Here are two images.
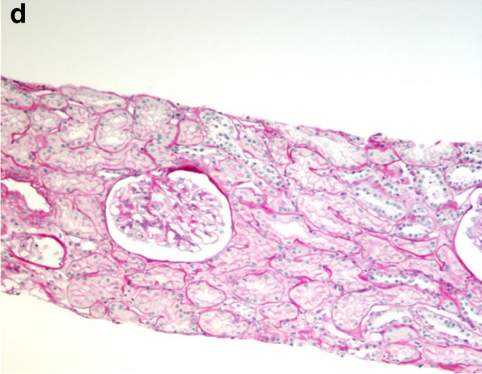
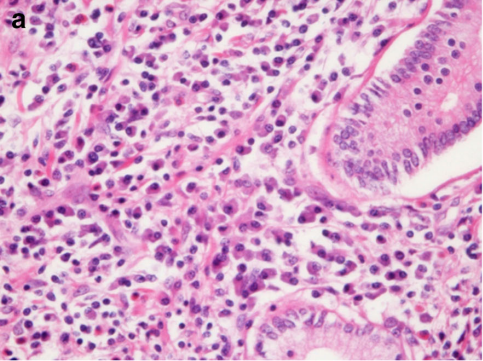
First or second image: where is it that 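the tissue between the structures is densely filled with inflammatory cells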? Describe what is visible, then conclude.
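First image: tubules lie close together with little cellularity between them. Second image: small round cells crowd the stroma in dense sheets. So: the second image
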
